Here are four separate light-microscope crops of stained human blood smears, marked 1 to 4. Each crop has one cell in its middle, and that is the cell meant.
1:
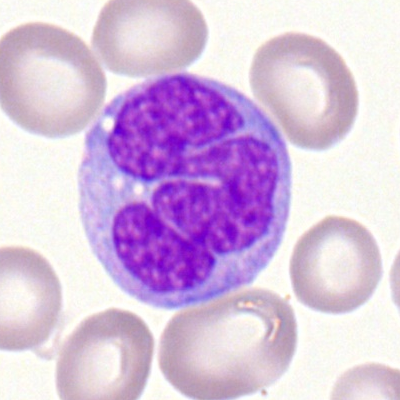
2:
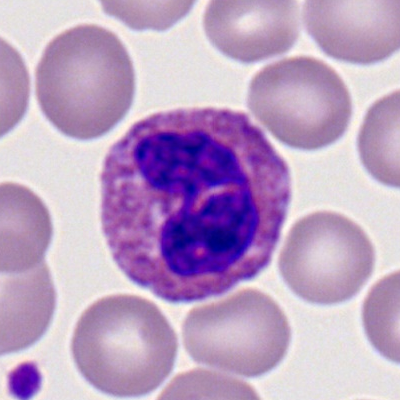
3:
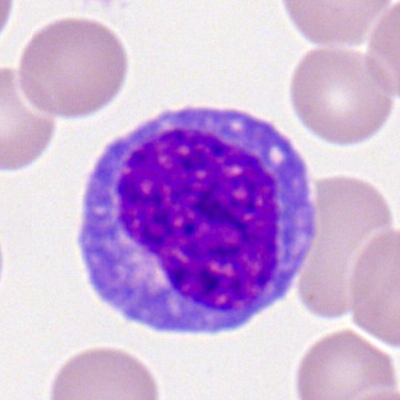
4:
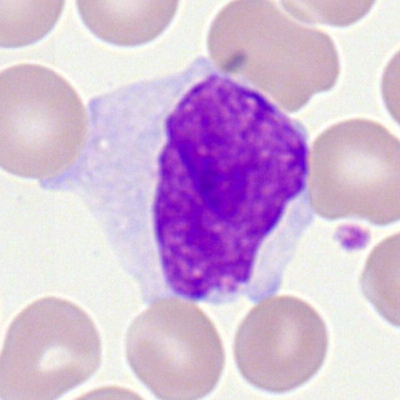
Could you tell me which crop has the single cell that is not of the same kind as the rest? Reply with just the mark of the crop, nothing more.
2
